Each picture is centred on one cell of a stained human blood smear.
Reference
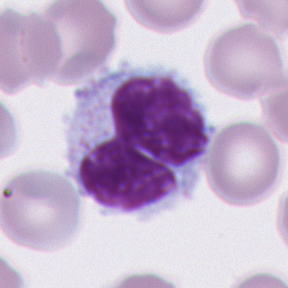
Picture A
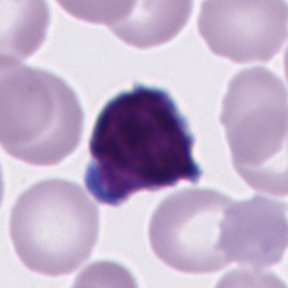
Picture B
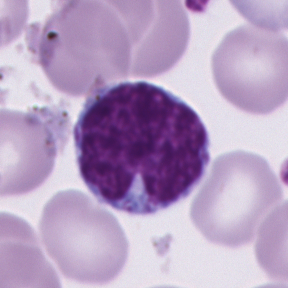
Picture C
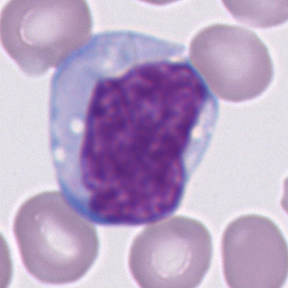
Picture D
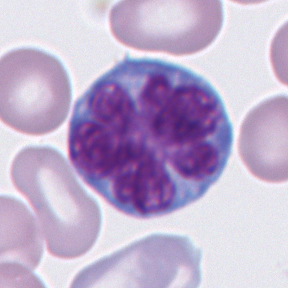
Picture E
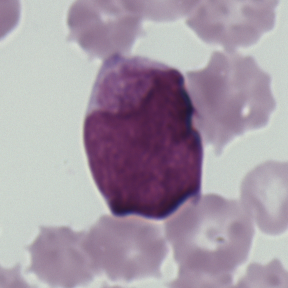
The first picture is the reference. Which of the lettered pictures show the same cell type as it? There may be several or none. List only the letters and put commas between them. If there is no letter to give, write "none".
A, B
